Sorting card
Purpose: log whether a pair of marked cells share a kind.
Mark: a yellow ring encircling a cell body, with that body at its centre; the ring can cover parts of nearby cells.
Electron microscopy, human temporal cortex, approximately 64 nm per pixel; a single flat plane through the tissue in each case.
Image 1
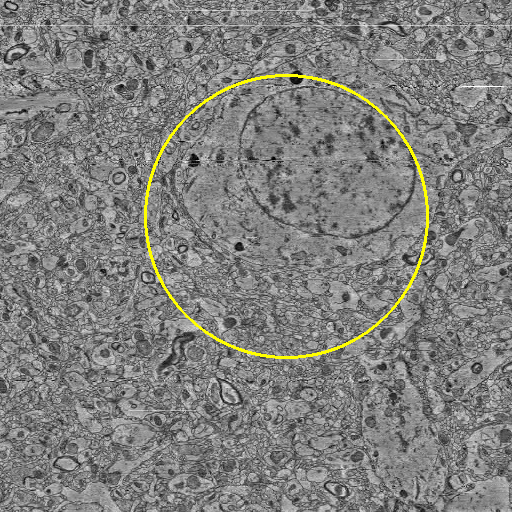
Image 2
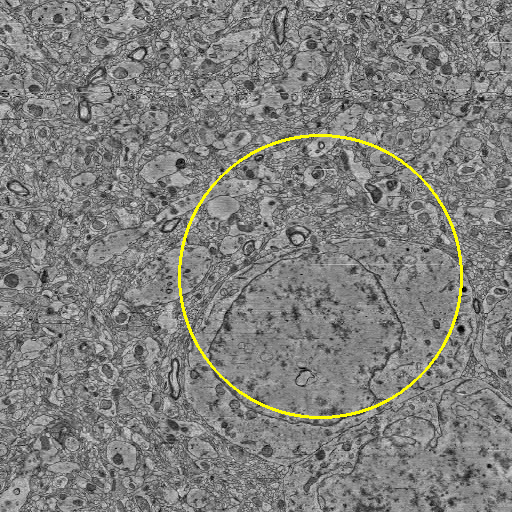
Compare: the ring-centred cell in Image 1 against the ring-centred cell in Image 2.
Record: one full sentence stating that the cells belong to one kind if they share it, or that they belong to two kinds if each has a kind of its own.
Across Images 1 and 2, the two ring-centred cells belong to one kind.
